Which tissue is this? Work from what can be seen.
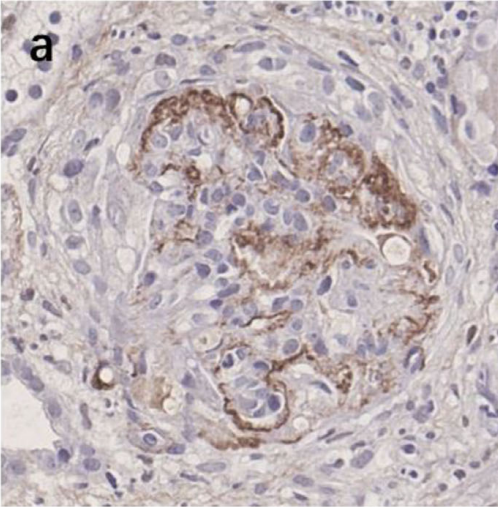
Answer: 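A rounded tuft of lobulated capillary loops lies in the centre of the field.
Hence: glomerulus.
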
